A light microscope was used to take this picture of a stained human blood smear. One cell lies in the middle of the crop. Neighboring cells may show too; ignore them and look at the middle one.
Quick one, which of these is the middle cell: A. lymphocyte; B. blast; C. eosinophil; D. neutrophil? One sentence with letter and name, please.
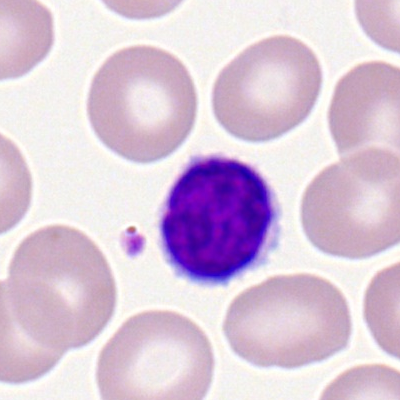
The central cell, a lymphocyte, is correctly identified by option A.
